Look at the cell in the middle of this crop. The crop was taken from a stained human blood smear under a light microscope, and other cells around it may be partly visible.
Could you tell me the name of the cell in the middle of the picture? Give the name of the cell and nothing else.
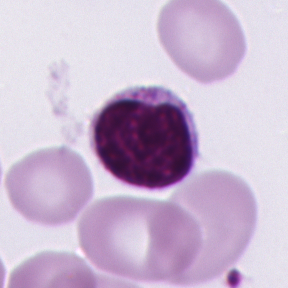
large granular lymphocyte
